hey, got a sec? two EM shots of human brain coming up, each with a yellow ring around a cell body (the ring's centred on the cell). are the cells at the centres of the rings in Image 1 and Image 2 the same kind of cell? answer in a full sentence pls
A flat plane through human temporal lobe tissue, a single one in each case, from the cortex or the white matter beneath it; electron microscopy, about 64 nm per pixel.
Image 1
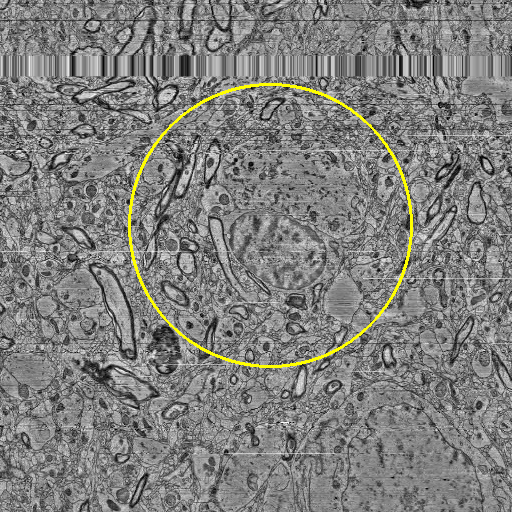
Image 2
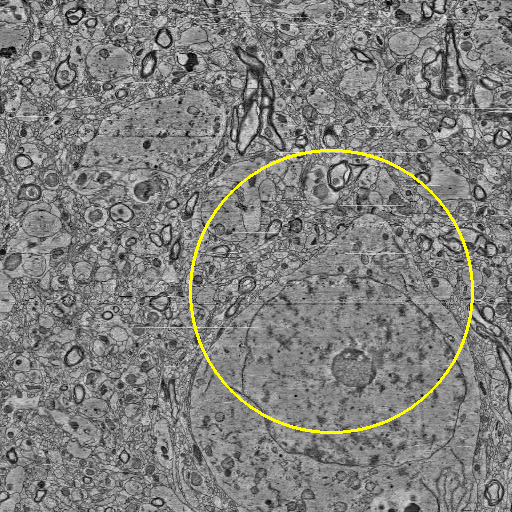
No, they are two kinds of cell.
